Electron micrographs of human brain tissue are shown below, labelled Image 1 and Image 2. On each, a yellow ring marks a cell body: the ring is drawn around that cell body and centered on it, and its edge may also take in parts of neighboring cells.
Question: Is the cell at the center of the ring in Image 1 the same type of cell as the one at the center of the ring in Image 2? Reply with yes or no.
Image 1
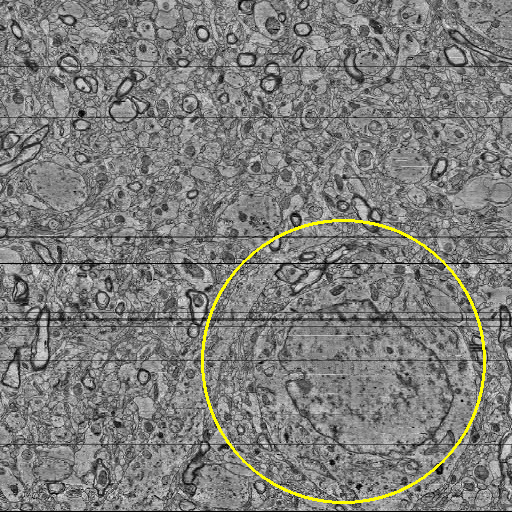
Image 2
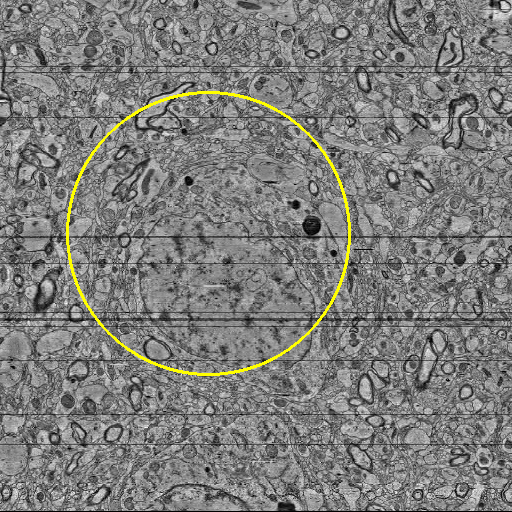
yes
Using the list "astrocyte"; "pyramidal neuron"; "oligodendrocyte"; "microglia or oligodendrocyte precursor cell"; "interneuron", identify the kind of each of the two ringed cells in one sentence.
In both pictures the ring is centred on a pyramidal neuron.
